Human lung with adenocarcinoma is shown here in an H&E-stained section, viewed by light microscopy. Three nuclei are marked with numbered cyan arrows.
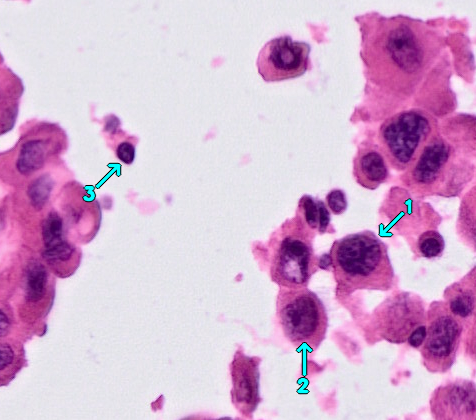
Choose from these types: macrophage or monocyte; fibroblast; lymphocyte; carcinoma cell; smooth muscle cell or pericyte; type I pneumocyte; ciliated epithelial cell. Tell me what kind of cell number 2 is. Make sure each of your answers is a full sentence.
Corresponding to a carcinoma cell is the cell labelled 2.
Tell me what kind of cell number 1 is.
In this section, the cell tagged 1 is a carcinoma cell.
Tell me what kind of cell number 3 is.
Number 3 among the marked cells is a lymphocyte.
